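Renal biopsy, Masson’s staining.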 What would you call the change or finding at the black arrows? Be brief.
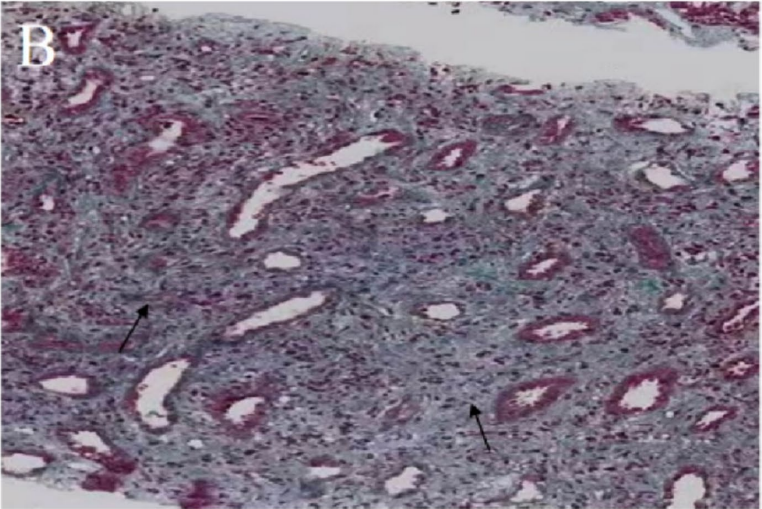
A: storiform fibrosis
